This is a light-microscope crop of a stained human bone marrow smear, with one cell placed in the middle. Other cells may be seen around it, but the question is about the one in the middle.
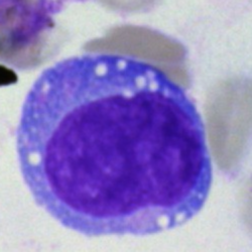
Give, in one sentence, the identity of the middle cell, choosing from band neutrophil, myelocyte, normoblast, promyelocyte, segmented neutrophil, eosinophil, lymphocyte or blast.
The middle position in this crop is taken by a blast.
